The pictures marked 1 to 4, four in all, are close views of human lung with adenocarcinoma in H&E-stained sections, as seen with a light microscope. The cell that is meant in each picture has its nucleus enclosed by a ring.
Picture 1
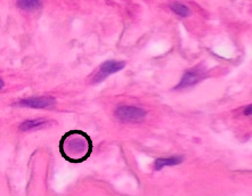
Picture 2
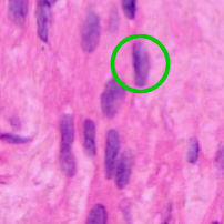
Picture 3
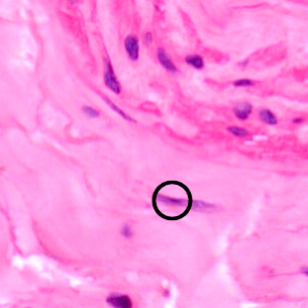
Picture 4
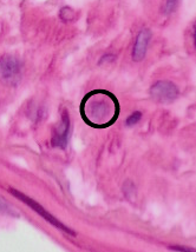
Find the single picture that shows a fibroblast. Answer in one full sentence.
It is picture 3 that shows the fibroblast.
